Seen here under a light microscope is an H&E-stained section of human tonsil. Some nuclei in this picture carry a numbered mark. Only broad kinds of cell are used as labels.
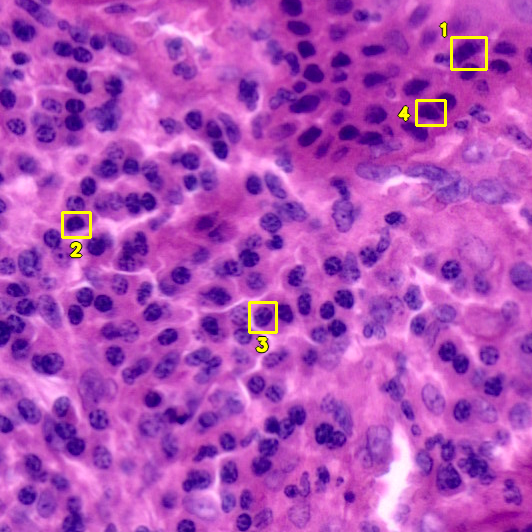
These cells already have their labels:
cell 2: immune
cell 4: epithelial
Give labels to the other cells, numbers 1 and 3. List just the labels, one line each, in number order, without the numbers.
epithelial
immune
